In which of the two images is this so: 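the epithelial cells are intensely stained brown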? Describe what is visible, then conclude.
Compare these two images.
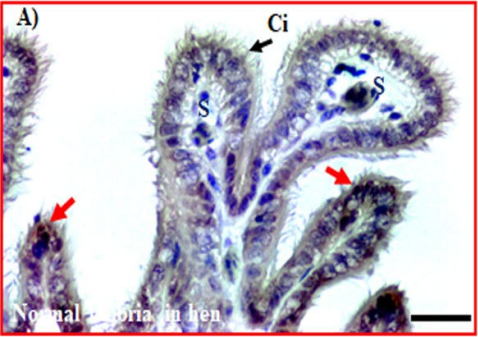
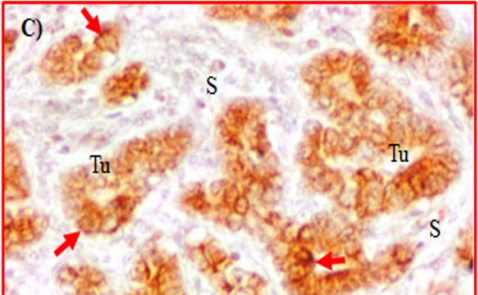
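Second image: clusters of cells with strong dark brown cytoplasm. First image: epithelium mostly blue-grey with little brown.
Answer: the second image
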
